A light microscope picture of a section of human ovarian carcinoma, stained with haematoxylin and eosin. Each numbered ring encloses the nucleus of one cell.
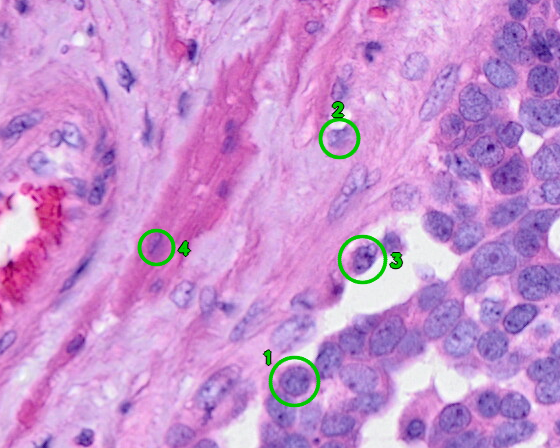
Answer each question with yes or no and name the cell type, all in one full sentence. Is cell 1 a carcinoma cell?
Yes, the cell with number 1 is a carcinoma cell.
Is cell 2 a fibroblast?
Yes, cell number 2 is identified here as a fibroblast.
